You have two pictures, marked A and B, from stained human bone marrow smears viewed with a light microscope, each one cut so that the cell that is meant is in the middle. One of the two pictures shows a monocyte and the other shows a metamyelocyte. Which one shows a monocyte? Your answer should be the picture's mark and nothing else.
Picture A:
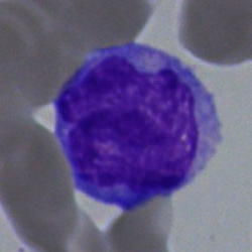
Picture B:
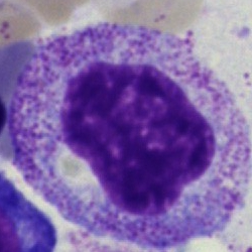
A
